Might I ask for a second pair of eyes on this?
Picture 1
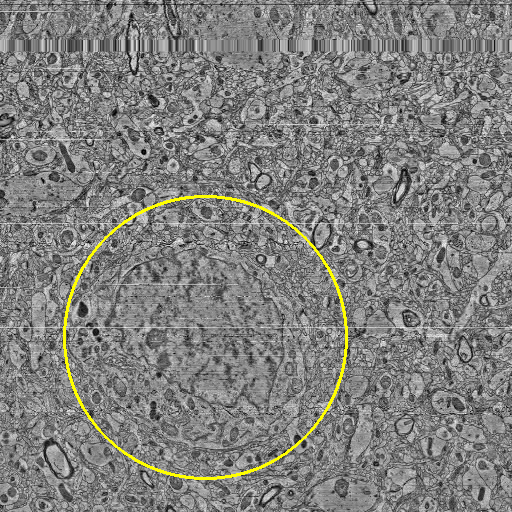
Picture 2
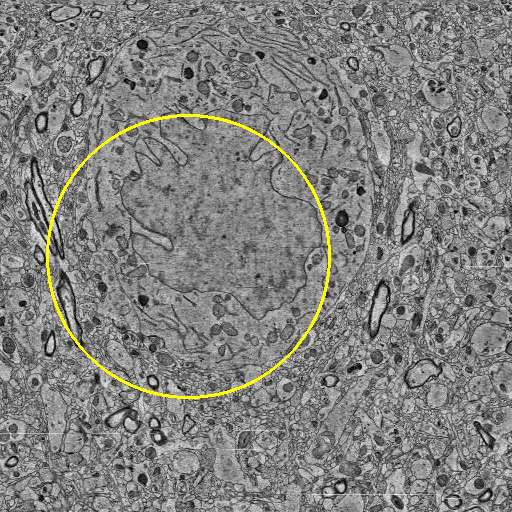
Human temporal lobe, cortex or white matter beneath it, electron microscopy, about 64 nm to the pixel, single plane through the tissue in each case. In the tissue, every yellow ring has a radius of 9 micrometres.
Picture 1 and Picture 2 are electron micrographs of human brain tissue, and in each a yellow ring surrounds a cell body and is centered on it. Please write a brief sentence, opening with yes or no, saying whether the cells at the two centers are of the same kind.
Yes, the cells are of the same kind.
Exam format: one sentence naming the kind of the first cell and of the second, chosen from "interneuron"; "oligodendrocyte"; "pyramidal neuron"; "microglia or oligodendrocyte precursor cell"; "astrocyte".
Both cells are the same kind, each one being an interneuron.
